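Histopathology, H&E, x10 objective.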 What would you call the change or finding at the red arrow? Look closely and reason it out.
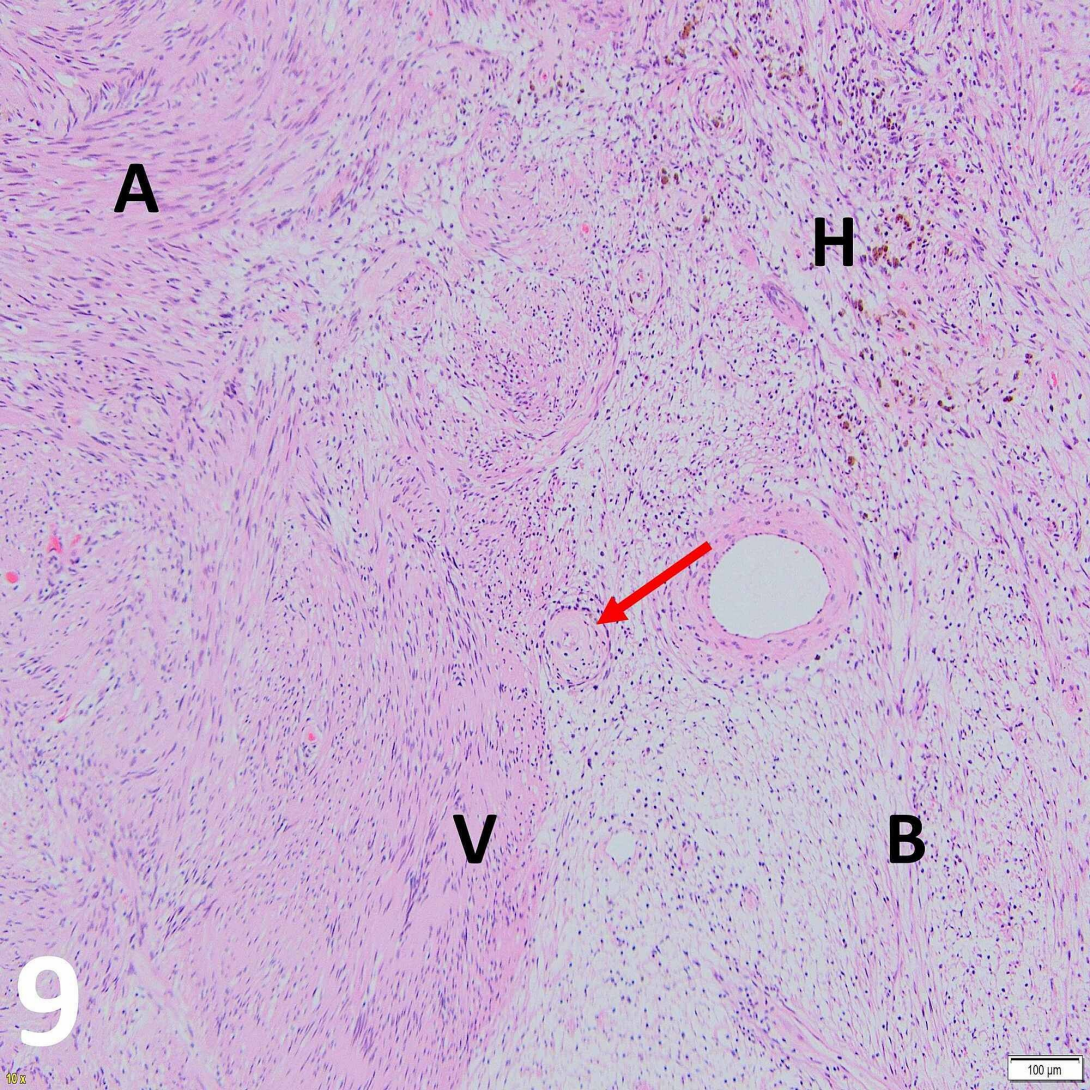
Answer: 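Vascular mural hyalinization. The arrow points to a small round vessel with a thick, concentrically layered pale pink wall. A nearby larger vessel also has a thick homogeneous pink wall around an empty lumen.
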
